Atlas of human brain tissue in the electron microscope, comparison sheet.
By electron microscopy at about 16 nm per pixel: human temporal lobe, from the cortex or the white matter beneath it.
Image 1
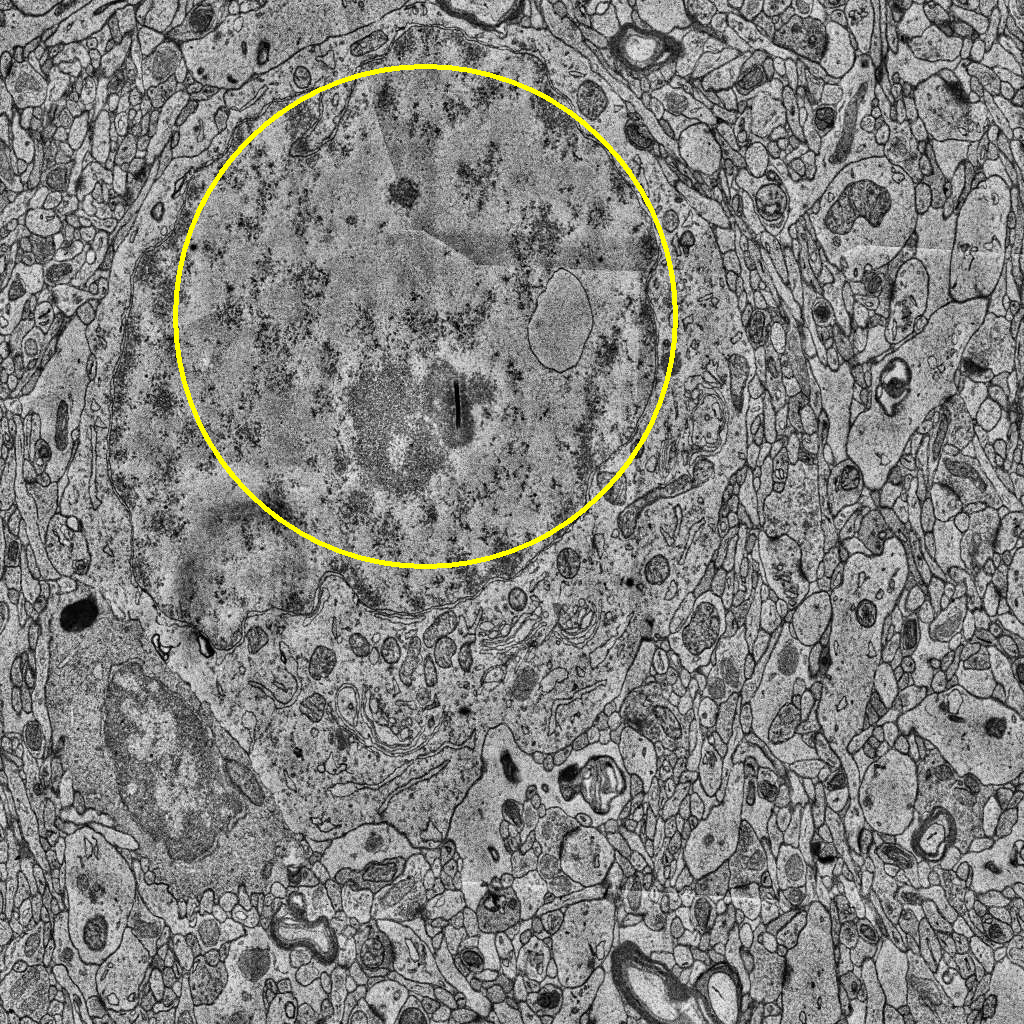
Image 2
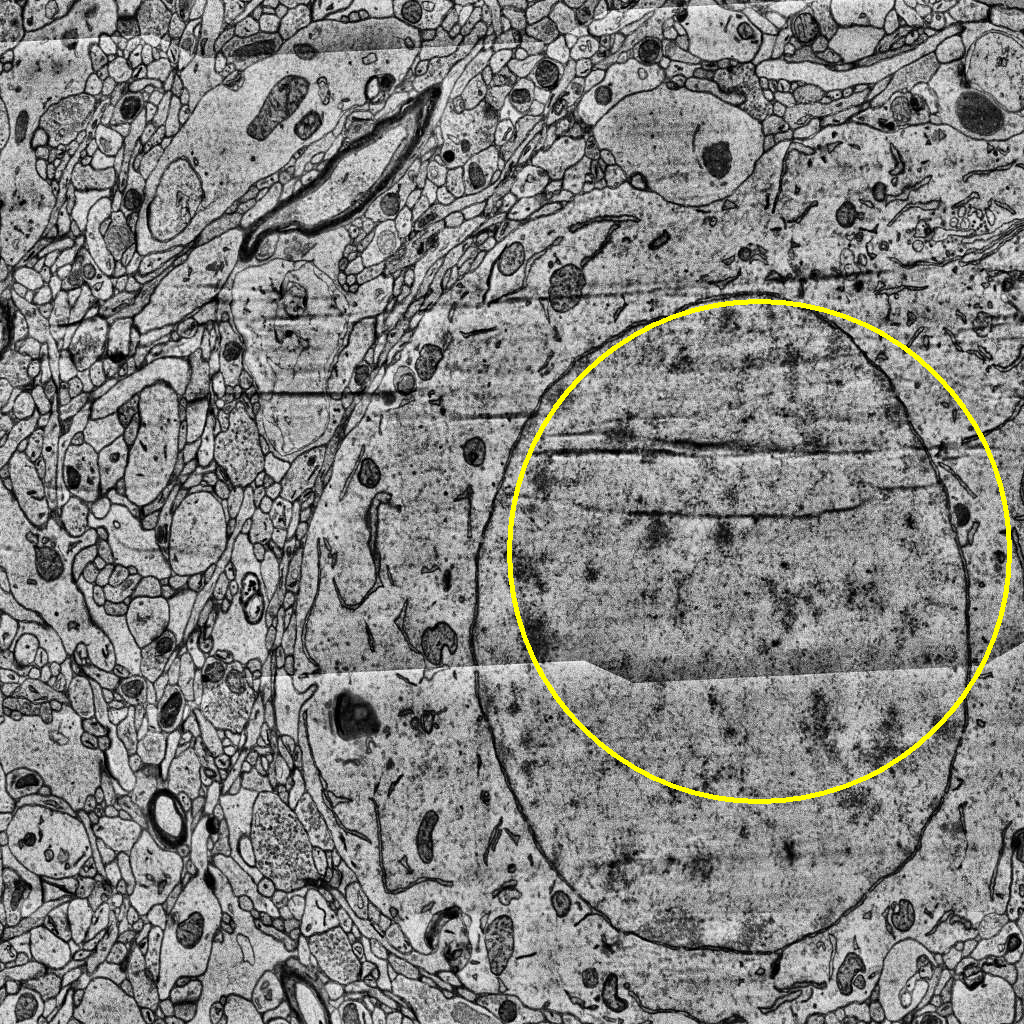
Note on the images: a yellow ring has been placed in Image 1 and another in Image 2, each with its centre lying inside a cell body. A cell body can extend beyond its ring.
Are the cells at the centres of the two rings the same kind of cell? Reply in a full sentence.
No, the two cells are of two kinds.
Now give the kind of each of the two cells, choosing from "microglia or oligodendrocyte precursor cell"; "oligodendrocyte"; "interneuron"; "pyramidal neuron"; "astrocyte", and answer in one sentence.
In the first picture we have an interneuron, and in the second, a pyramidal neuron.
